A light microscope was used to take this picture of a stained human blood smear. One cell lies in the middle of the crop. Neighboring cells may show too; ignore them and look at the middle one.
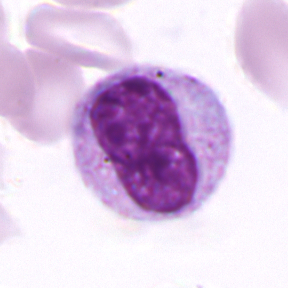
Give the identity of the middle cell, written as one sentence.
The cell at the middle of the frame should be recorded as a metamyelocyte.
